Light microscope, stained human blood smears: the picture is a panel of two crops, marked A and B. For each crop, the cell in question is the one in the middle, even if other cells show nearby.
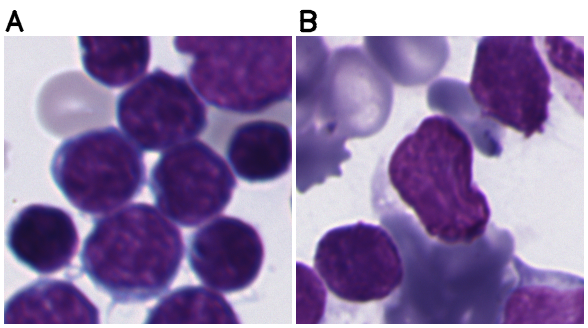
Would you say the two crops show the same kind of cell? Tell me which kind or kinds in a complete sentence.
Yes, the centre of both crops is taken up by myeloblasts.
